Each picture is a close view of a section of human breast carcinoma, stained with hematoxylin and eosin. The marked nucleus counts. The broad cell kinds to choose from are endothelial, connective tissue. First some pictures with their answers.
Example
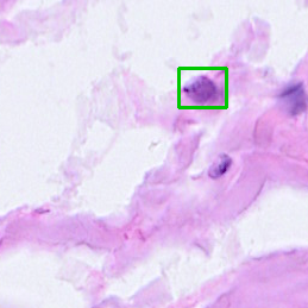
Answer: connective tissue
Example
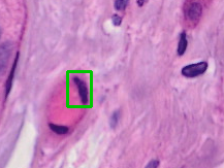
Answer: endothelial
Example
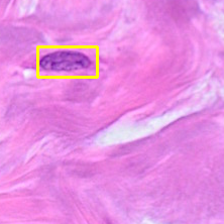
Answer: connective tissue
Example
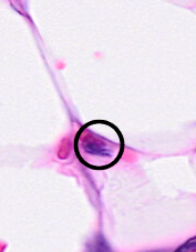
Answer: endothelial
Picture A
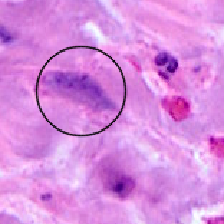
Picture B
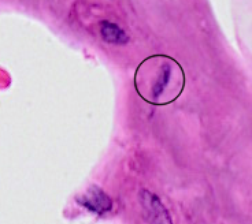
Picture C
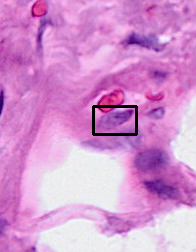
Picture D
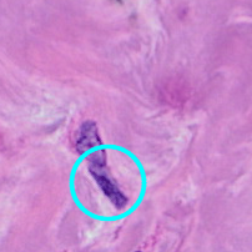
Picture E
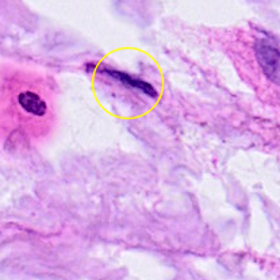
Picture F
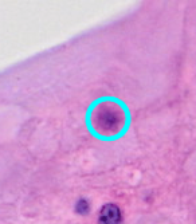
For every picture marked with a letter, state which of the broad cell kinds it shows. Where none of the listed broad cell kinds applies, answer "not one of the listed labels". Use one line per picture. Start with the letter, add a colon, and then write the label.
A: connective tissue
B: connective tissue
C: endothelial
D: connective tissue
E: connective tissue
F: not one of the listed labels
